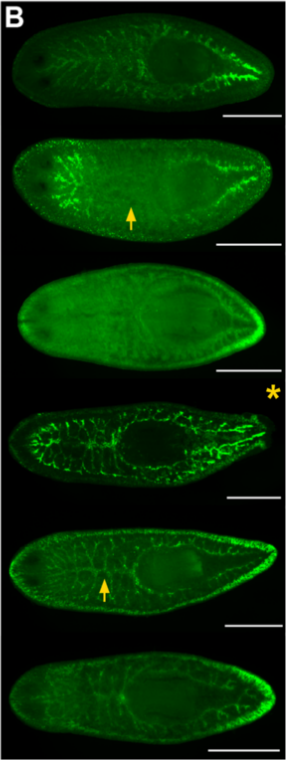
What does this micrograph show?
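A column of whole flatworms seen from above, each with green label tracing a tree-like network of tubes that spreads from the midline toward the body edge, with a dark oval region in the middle of the body. These branching tubes are the gut of the planarian, with its anterior branches extending forward toward the head and paired branches running back on either side of the dark central region; in some worms the branches are crisp and bright, in others they are faint over a hazy green background.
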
